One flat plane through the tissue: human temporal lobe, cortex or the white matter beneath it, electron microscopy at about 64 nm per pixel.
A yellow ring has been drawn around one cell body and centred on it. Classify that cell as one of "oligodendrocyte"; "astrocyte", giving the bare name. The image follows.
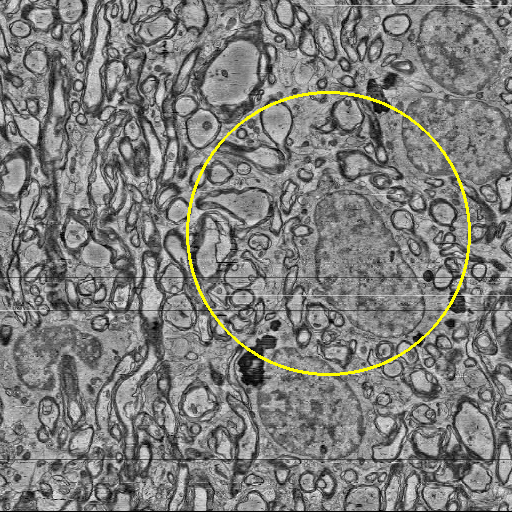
oligodendrocyte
